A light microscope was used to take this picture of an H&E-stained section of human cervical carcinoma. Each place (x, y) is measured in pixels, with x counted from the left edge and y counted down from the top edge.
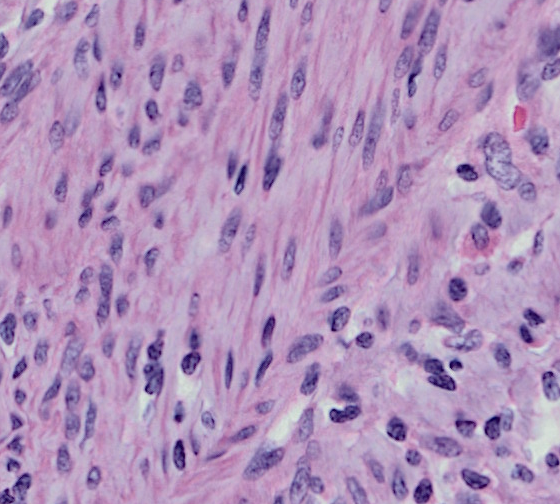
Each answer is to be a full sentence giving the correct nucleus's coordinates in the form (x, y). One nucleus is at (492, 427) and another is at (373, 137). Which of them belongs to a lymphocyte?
Located at (492, 427), this nucleus is the one belonging to a lymphocyte.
